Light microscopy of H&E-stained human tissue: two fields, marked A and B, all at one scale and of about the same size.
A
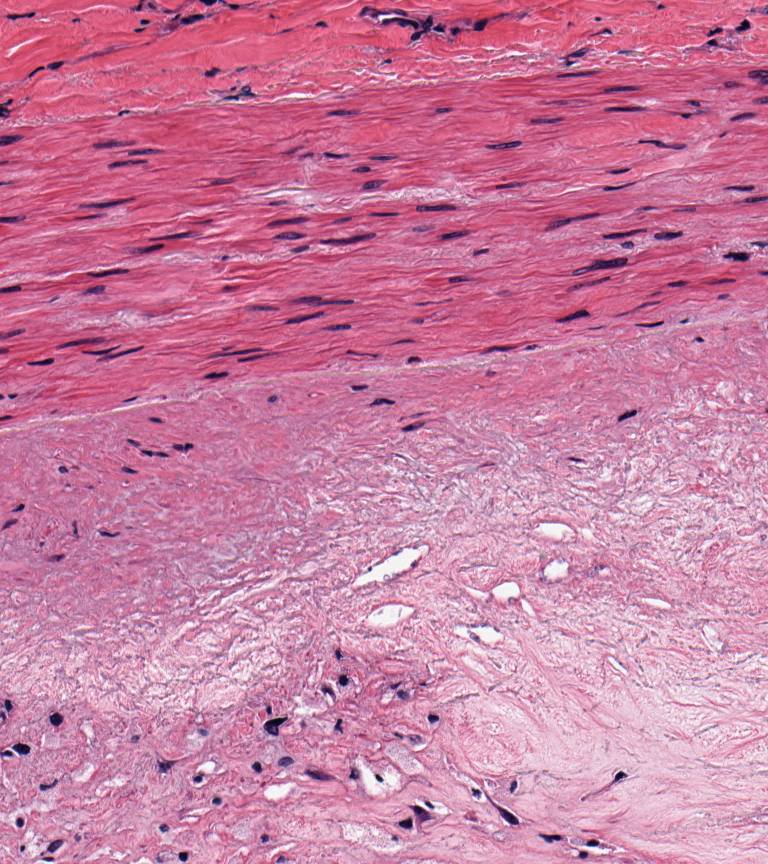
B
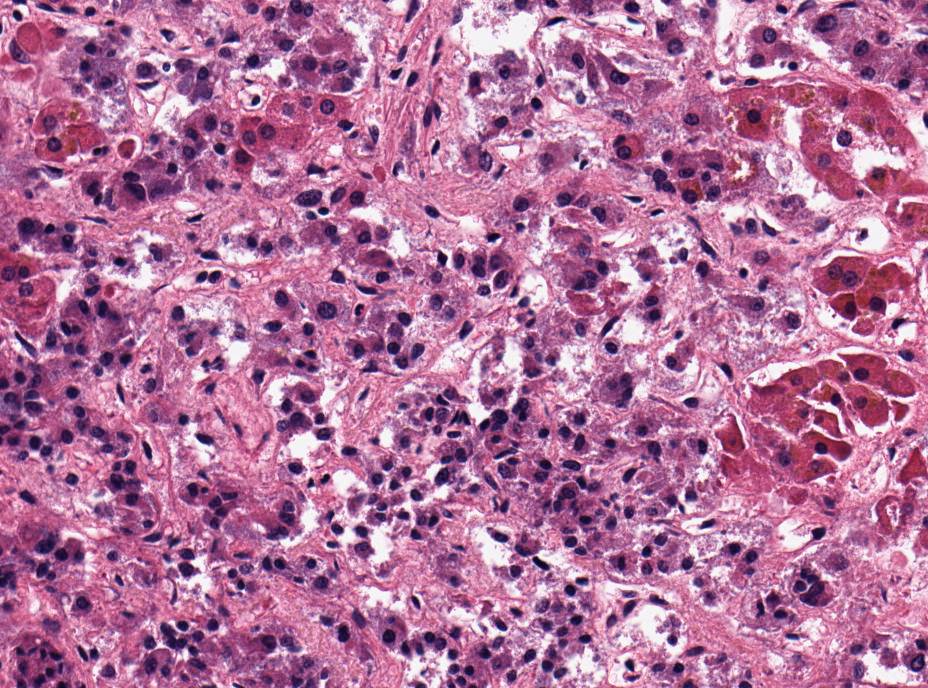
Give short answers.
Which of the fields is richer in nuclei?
B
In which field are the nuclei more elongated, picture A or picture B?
A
